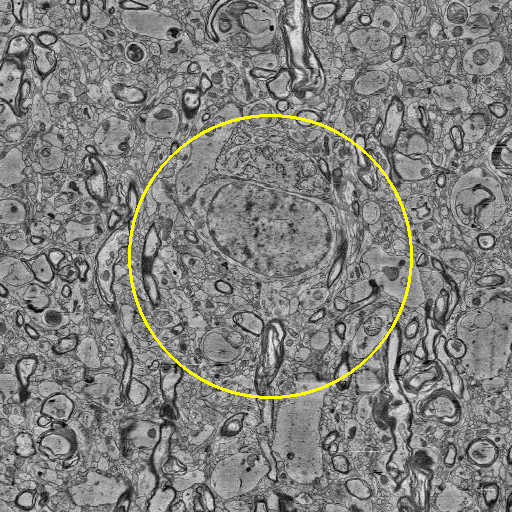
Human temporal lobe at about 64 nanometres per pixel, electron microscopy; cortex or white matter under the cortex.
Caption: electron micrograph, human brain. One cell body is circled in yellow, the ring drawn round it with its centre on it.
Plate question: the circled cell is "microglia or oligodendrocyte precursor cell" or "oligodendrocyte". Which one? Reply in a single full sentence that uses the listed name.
The yellow ring on the plate is centred on a microglial cell or oligodendrocyte precursor cell, going by the listed names.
